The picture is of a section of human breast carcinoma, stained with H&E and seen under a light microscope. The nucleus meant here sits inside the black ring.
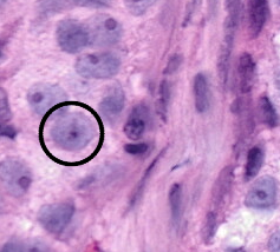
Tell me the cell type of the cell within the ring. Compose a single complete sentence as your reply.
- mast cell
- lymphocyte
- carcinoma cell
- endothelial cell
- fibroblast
Typologically, the cell within the ring is a carcinoma cell in this section.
